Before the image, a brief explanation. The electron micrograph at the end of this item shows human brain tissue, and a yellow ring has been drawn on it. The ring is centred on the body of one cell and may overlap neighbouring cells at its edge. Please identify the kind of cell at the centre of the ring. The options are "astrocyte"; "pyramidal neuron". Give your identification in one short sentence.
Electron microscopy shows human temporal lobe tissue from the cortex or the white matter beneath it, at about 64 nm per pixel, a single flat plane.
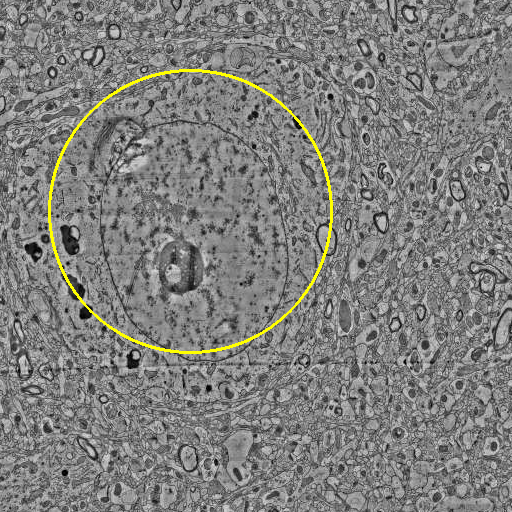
The ring has been placed around a pyramidal neuron.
